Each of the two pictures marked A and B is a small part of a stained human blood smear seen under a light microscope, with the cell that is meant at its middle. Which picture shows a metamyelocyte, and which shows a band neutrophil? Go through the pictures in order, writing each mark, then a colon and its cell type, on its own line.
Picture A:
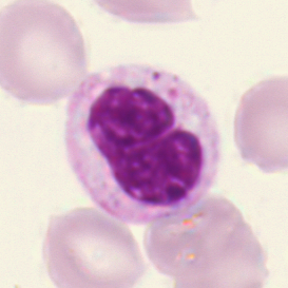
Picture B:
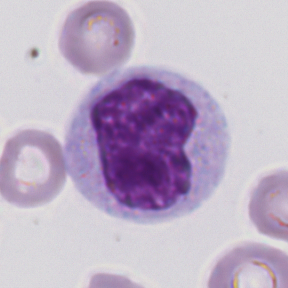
A: band neutrophil
B: metamyelocyte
